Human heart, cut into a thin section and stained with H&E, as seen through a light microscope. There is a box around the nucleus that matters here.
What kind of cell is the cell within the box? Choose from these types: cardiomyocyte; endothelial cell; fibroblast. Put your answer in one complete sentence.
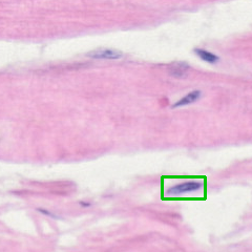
Right, so the cell within the box is a fibroblast, to answer that.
